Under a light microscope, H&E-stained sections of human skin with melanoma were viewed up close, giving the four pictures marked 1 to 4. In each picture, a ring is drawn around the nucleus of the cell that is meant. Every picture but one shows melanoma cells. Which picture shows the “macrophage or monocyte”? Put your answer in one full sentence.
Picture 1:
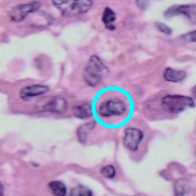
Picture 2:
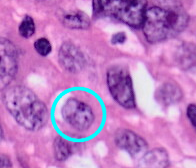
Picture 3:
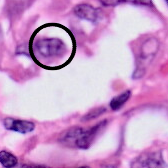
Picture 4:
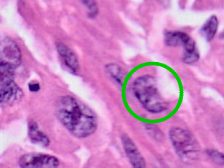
Picture 1 shows the “macrophage or monocyte”.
